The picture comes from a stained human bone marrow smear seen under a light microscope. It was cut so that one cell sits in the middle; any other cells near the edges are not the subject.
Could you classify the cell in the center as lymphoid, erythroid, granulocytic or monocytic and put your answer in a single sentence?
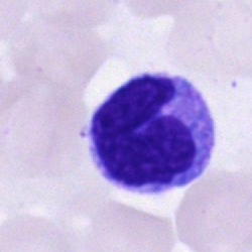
The cell at the center of the crop is assigned monocytic lineage.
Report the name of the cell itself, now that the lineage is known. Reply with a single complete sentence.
The cell at the centre of the field is a monocyte.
